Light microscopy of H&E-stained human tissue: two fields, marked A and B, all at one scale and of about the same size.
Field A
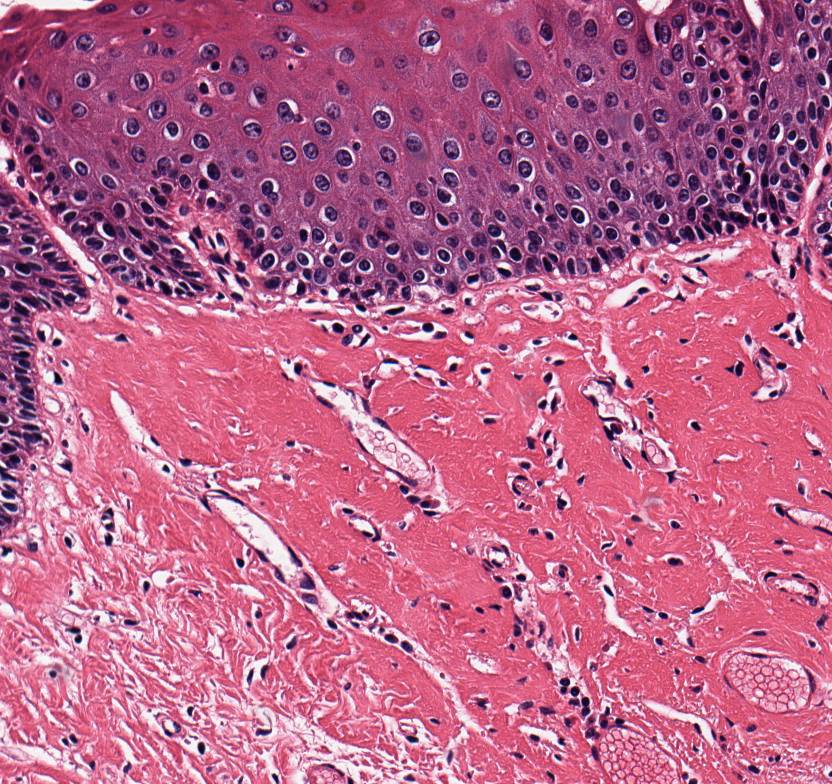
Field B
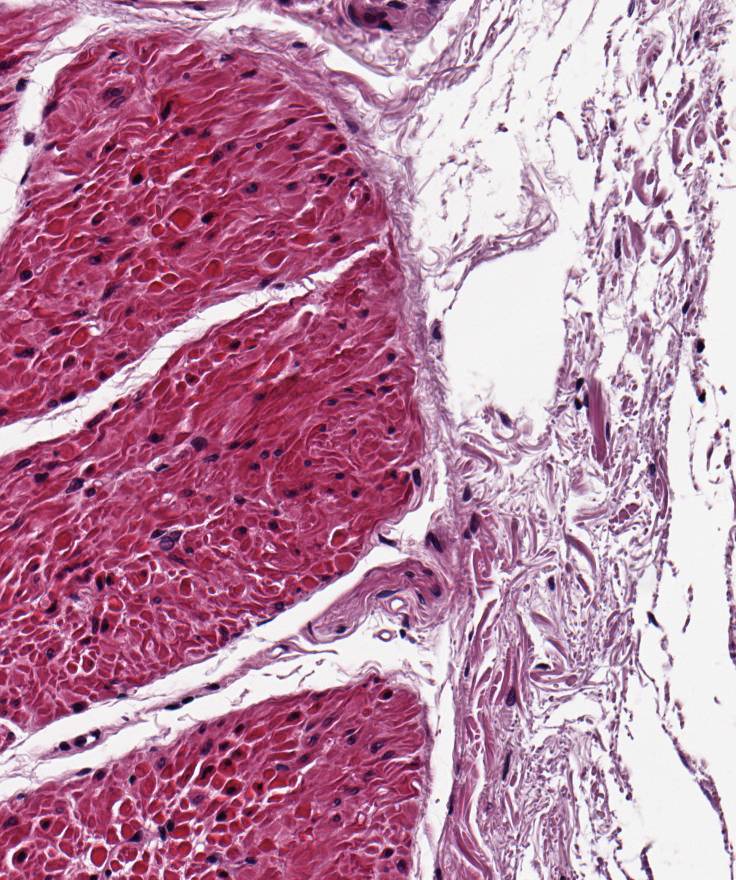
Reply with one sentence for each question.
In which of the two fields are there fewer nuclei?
Field B holds fewer nuclei than field A.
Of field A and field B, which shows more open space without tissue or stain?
It is field B in which white space covers the larger part.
